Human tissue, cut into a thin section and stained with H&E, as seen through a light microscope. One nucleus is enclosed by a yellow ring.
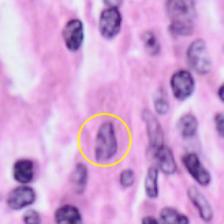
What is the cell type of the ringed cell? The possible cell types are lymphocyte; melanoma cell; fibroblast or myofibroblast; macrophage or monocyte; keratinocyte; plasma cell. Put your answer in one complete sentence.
Among the cells in this section, the ringed cell is a macrophage or monocyte.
